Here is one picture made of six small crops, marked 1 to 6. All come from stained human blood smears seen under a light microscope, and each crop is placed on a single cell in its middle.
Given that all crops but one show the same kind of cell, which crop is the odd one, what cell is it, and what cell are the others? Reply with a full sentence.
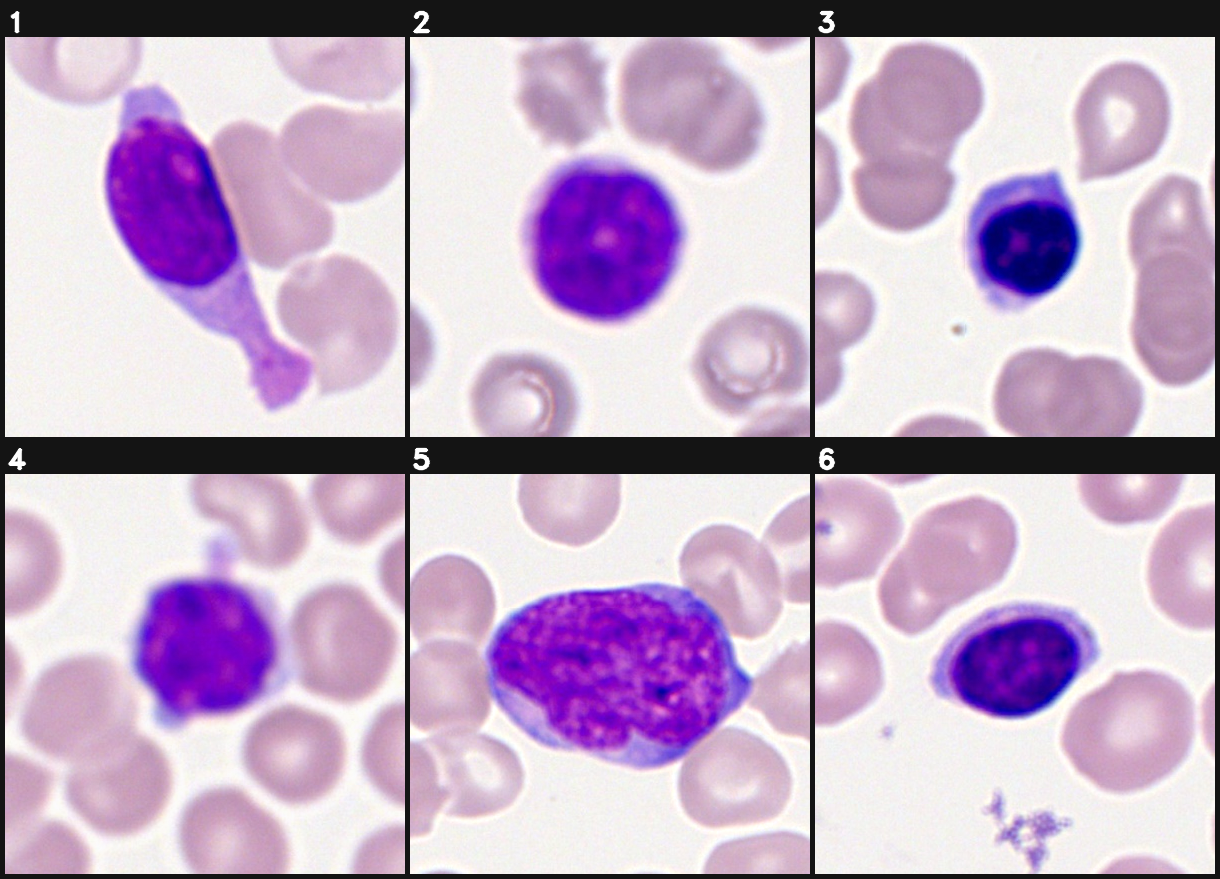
As the exception to the lymphocytes in the other crops, crop 5 shows a blast.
